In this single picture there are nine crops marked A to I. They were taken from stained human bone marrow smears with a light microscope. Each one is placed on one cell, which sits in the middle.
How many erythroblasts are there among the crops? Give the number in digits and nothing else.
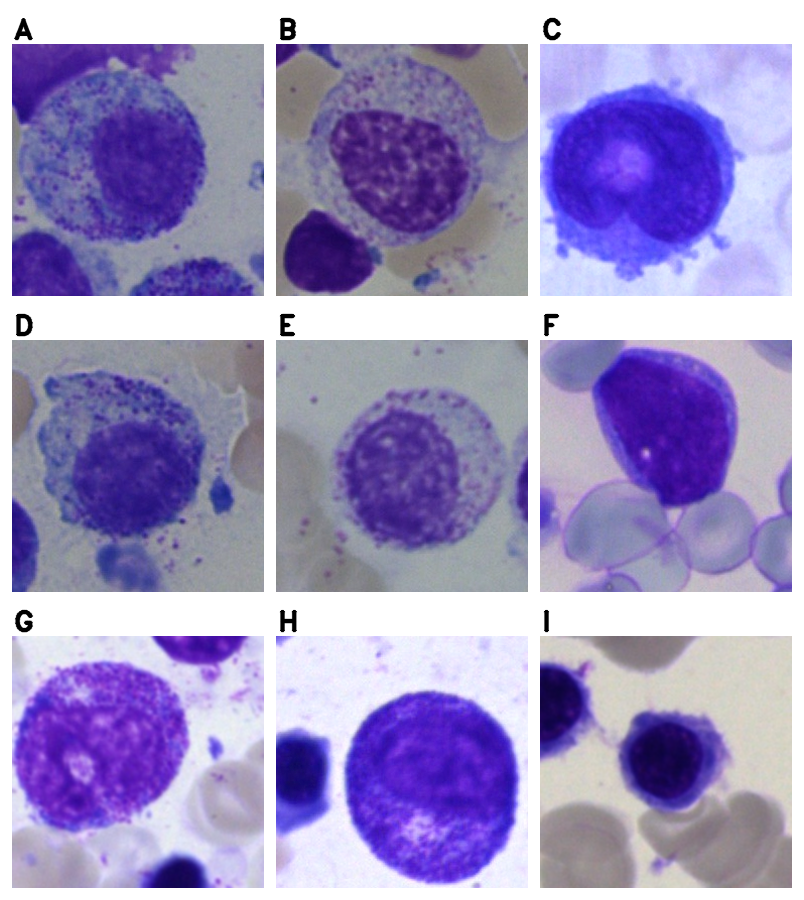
1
